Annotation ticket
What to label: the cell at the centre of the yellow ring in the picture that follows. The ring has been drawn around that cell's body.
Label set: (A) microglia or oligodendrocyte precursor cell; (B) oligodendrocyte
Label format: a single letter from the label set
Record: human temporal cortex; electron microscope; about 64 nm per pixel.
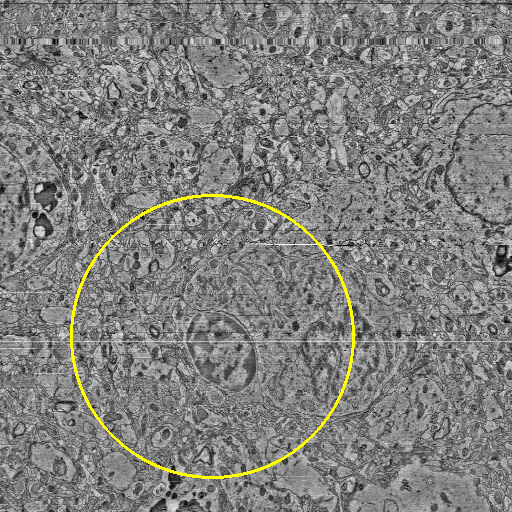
A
